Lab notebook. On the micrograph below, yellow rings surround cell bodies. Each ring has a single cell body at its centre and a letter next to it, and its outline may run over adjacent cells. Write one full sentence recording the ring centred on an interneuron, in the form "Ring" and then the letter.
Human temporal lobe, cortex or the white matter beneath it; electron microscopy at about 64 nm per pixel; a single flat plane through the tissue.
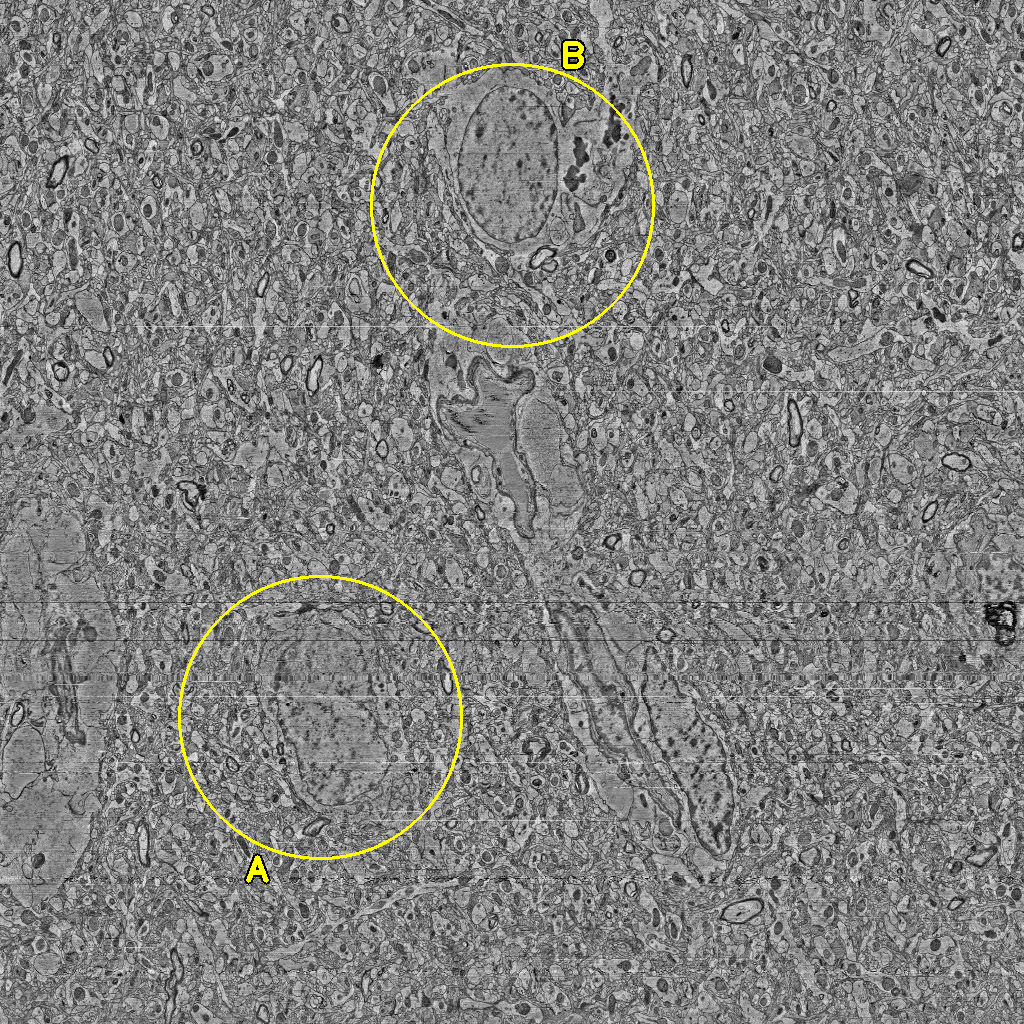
My answer is Ring A, the ring centred on a cell of that kind.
